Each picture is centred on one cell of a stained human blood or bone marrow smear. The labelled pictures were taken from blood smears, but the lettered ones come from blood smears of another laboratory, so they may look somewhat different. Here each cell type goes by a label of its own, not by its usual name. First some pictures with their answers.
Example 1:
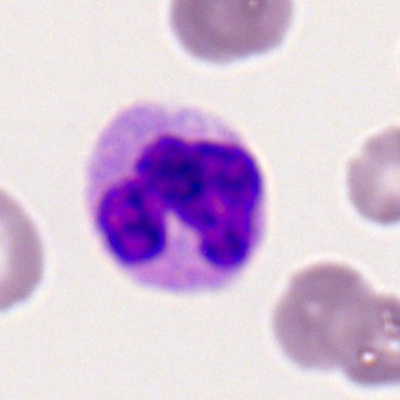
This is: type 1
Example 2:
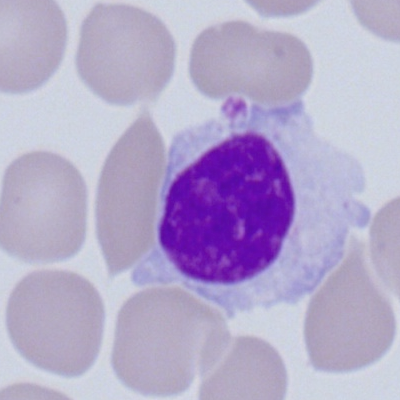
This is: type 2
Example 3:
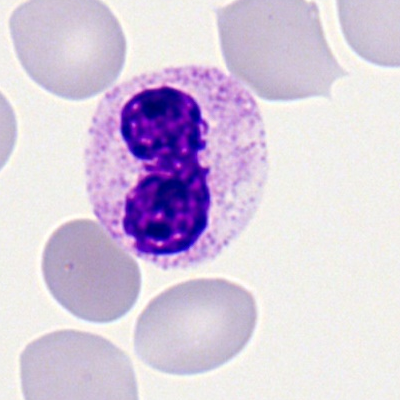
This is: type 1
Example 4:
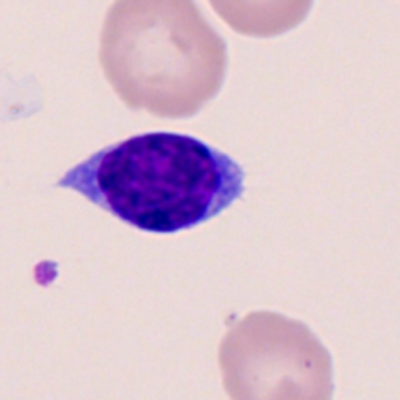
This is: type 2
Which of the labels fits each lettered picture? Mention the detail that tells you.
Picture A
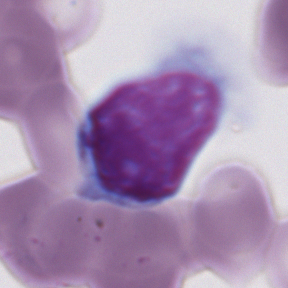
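type 2. Reason: The cytoplasm forms only a thin rim around the nucleus.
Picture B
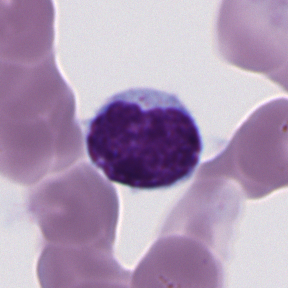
type 2. Reason: The cytoplasm forms a narrow cap mainly above the nucleus.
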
